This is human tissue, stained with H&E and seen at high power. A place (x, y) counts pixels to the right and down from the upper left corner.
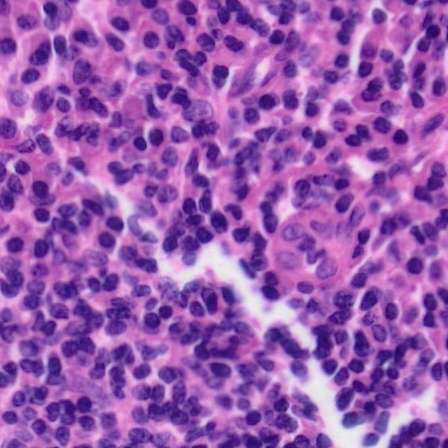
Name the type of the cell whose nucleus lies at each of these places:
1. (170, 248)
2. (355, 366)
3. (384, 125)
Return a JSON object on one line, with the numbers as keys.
{"1": "small lymphocyte", "2": "small lymphocyte", "3": "plasma cell"}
